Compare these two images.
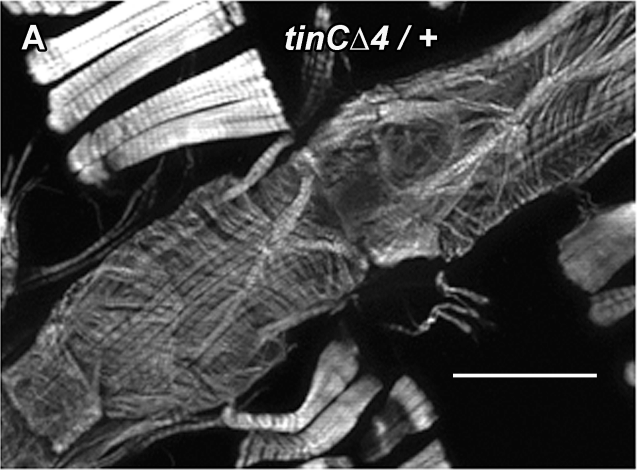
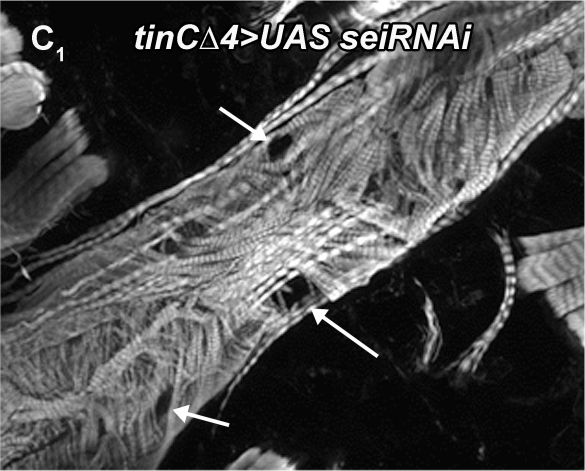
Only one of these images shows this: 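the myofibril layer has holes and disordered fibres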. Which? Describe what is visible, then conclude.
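Second image: dark holes interrupt the fibrillar mesh and fibres run in mixed directions. First image: the fibrillar wall is continuous with fibres wrapping crosswise around the tube.
Conclusion: the second image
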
